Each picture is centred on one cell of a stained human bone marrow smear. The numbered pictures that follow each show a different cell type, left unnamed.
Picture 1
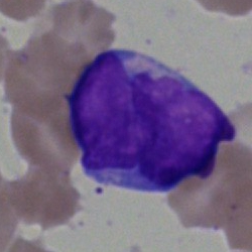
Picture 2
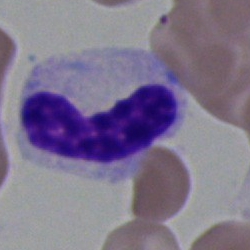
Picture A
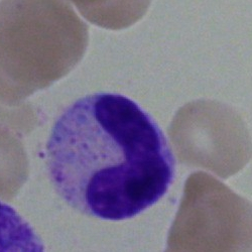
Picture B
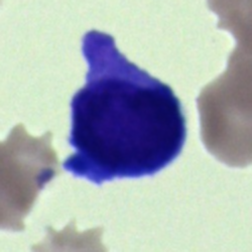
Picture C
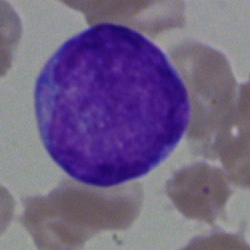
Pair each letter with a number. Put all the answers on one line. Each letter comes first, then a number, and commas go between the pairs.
A 2, B 1, C 1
